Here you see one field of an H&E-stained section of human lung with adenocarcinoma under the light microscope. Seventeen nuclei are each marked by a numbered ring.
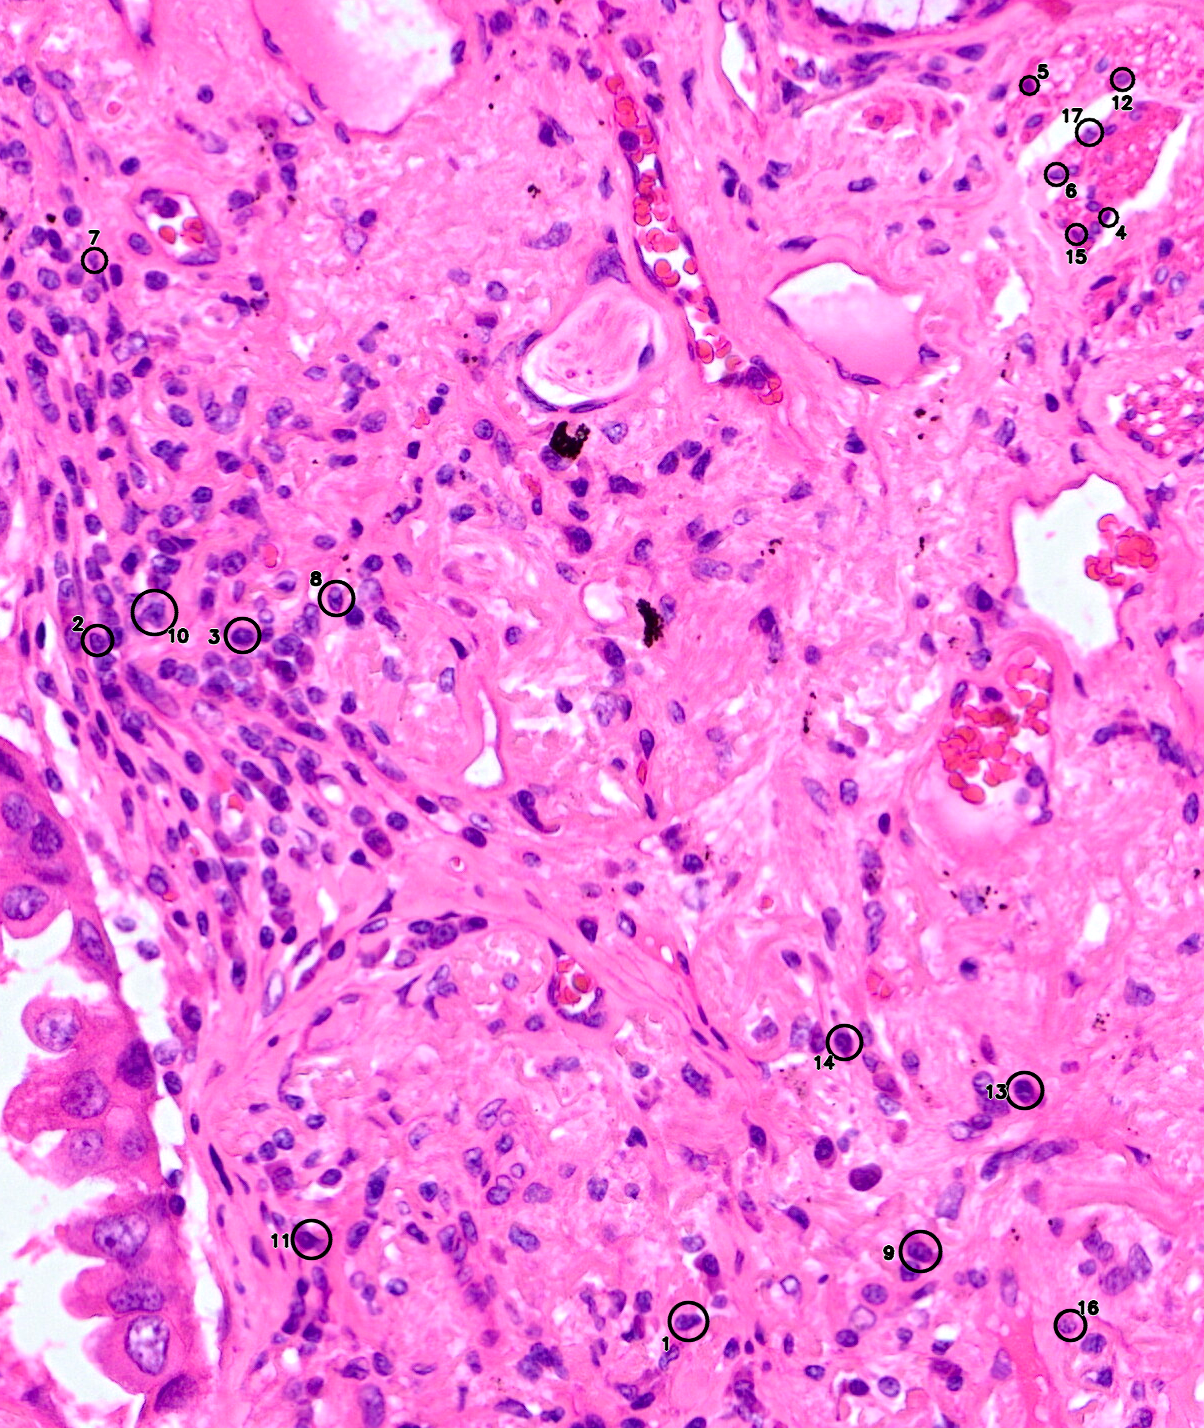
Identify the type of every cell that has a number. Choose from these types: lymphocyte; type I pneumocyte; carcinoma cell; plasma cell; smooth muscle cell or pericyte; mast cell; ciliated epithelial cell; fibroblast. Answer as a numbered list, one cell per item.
1. lymphocyte
2. lymphocyte
3. lymphocyte
4. smooth muscle cell or pericyte
5. smooth muscle cell or pericyte
6. smooth muscle cell or pericyte
7. lymphocyte
8. lymphocyte
9. plasma cell
10. lymphocyte
11. plasma cell
12. smooth muscle cell or pericyte
13. plasma cell
14. plasma cell
15. smooth muscle cell or pericyte
16. mast cell
17. smooth muscle cell or pericyte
